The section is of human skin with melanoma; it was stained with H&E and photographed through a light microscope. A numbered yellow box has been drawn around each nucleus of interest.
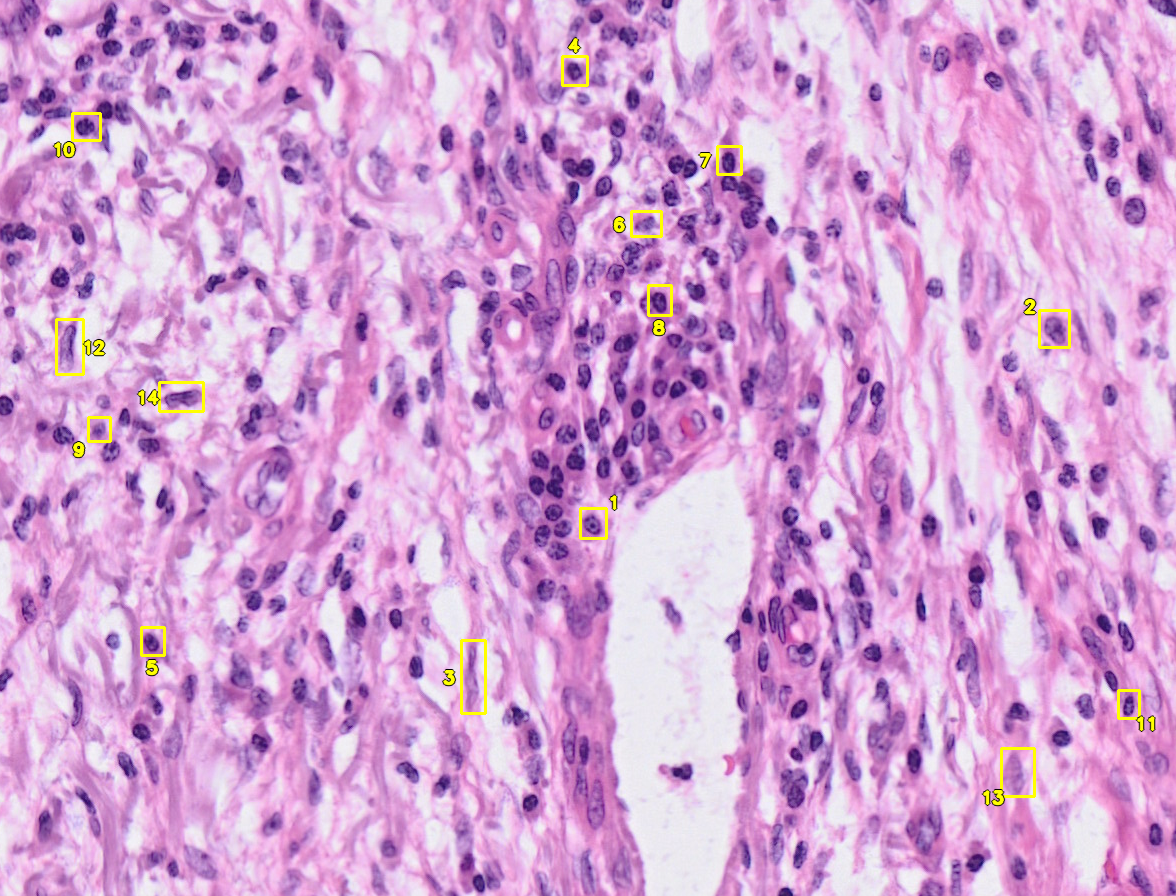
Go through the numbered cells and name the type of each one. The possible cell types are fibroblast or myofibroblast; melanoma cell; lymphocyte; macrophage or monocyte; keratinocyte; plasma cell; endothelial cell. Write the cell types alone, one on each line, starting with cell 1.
plasma cell
macrophage or monocyte
fibroblast or myofibroblast
plasma cell
plasma cell
lymphocyte
plasma cell
plasma cell
plasma cell
plasma cell
plasma cell
fibroblast or myofibroblast
fibroblast or myofibroblast
macrophage or monocyte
